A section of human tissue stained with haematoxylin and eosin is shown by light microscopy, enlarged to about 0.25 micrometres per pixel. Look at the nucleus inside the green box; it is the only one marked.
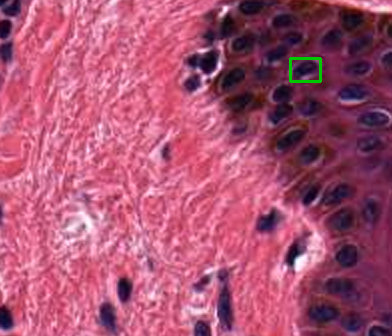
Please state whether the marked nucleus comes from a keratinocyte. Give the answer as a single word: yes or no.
yes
